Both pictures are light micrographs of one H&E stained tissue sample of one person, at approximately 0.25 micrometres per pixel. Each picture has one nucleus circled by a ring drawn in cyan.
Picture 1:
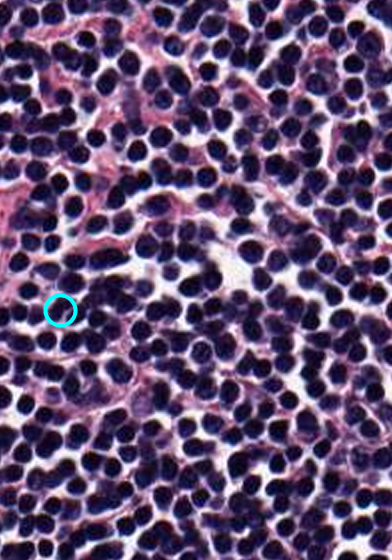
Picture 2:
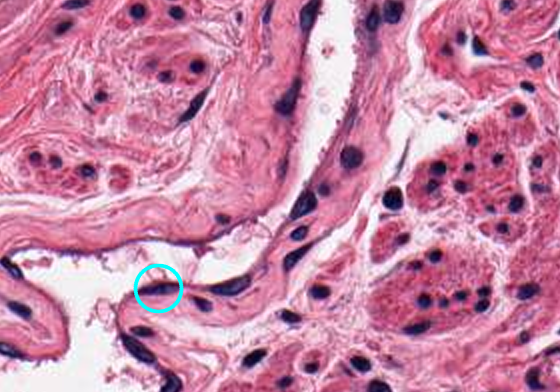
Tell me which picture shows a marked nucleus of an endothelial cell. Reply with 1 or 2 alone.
2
